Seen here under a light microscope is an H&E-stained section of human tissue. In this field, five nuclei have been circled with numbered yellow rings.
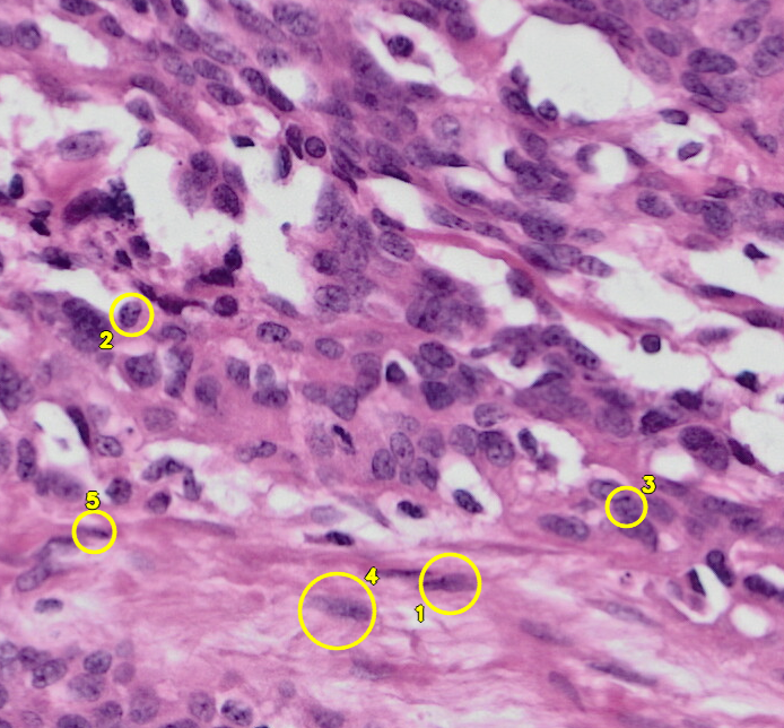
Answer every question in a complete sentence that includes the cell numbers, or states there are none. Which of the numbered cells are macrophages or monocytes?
Mind that only cell 2 is a macrophage or monocyte, none of the rest.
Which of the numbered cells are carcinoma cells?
Only cell 3 should be marked as a carcinoma cell.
